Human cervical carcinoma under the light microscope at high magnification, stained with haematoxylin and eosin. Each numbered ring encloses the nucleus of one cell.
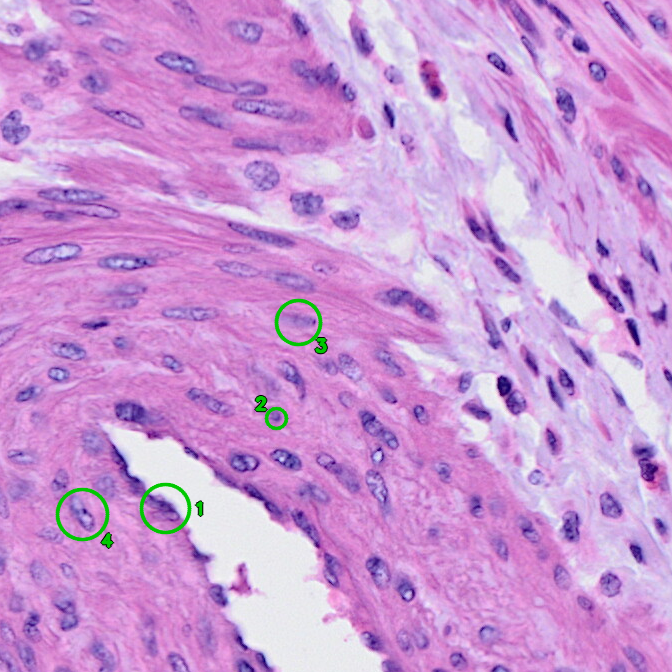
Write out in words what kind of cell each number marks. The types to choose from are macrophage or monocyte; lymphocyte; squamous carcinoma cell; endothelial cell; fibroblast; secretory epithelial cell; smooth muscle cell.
Cell 1 is an endothelial cell. Cells 2, 3 and 4 are smooth muscle cells.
